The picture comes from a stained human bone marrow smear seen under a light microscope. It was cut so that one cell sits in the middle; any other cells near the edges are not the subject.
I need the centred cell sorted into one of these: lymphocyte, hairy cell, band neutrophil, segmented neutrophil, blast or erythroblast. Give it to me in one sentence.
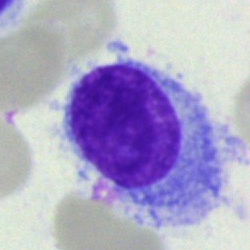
What the crop centres on is a hairy cell.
